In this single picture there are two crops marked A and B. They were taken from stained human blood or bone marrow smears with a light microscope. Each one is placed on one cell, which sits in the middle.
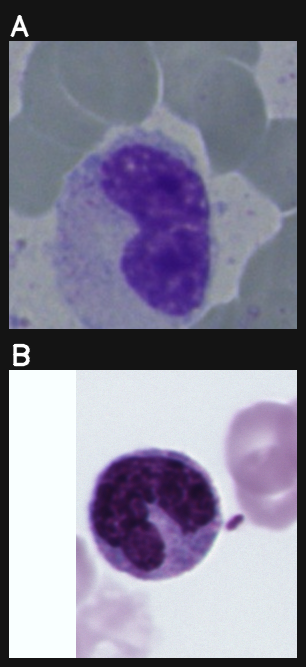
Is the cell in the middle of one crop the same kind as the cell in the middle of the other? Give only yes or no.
no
